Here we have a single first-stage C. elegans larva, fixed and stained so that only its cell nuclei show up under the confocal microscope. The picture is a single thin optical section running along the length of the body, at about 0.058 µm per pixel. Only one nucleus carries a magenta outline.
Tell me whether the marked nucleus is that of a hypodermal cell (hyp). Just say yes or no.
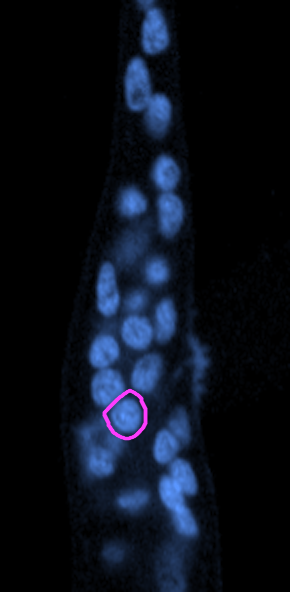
no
